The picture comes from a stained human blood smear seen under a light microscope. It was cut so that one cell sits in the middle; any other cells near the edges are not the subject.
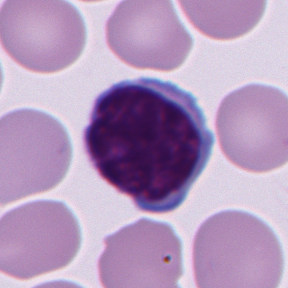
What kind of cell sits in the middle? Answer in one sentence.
Of the cells in this crop, the central one is a typical lymphocyte.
